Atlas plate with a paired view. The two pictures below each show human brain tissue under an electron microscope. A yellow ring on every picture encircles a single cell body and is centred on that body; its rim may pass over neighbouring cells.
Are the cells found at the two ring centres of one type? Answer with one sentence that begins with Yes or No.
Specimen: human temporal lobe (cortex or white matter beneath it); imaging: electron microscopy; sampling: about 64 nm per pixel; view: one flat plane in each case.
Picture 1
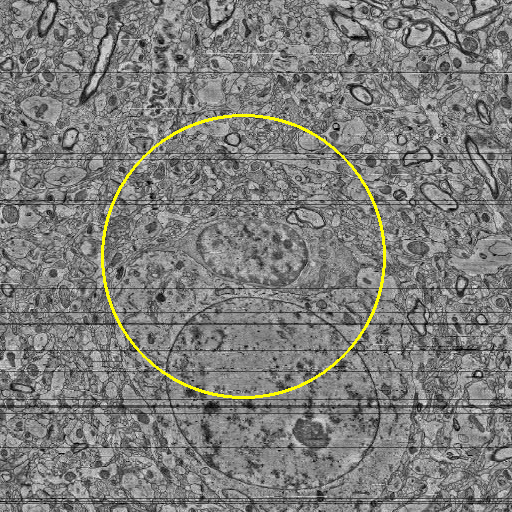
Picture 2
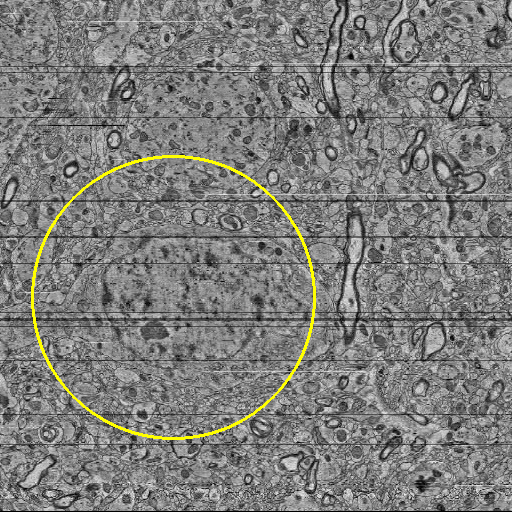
No, the two cells lying at the centres of the rings are of two types.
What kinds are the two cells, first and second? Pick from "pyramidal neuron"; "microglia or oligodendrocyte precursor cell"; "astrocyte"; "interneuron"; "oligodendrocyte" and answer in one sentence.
The second picture holds an interneuron in its ring, and the first holds an oligodendrocyte.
